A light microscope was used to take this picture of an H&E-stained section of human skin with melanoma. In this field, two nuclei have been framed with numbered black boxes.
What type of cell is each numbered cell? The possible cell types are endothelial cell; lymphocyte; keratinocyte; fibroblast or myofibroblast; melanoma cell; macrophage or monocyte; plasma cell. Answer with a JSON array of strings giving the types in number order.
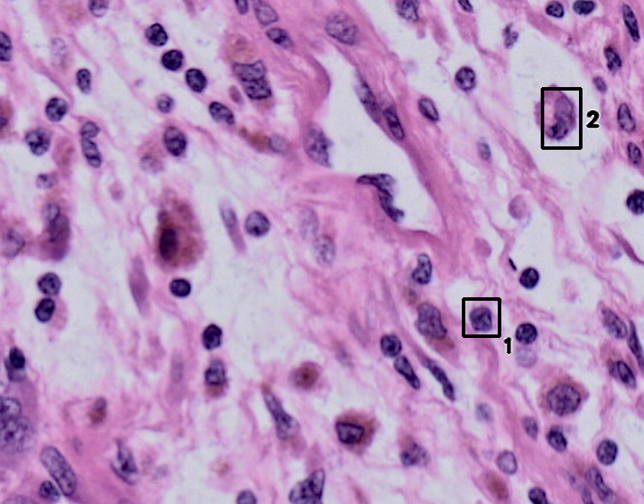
["lymphocyte", "macrophage or monocyte"]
